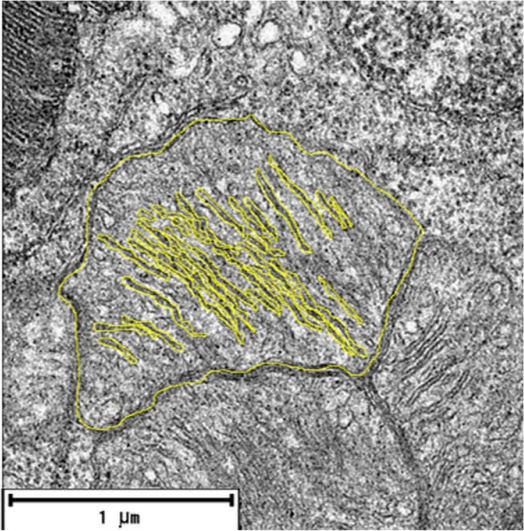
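Many long, thin, parallel cristae, each traced in yellow, run diagonally across the center of the organelle in closely packed stacks. The matrix around them is finely granular and moderately dense. At the edges of the field, parts of neighbouring mitochondria with stacked lamellar cristae can be seen.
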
